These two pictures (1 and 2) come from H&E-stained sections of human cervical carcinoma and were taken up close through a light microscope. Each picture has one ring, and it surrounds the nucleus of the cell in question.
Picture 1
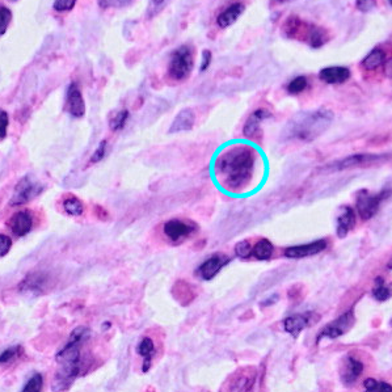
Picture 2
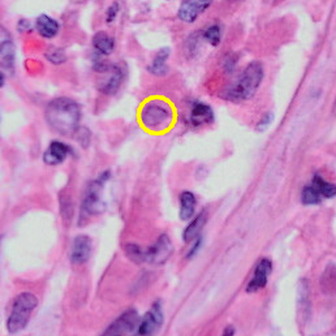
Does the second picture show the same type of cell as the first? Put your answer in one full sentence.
Yes, they are the same type: both are “macrophages or monocytes”.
